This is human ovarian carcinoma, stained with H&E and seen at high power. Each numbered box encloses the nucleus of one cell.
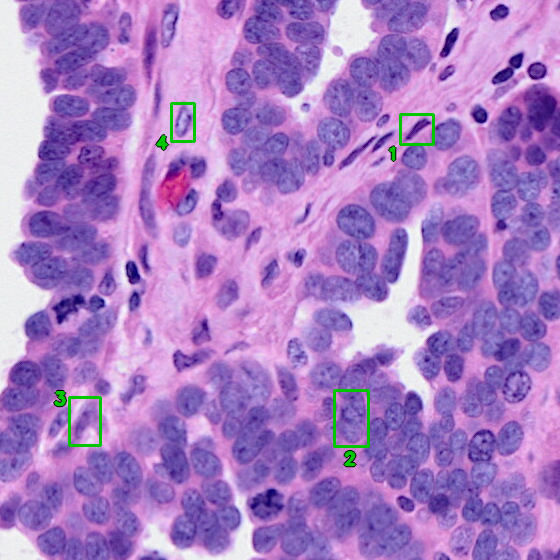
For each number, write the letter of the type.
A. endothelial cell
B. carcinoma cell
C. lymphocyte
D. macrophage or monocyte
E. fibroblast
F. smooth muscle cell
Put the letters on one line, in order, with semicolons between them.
E; B; E; E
